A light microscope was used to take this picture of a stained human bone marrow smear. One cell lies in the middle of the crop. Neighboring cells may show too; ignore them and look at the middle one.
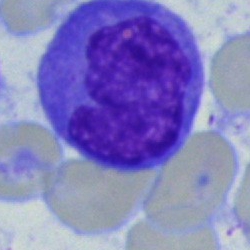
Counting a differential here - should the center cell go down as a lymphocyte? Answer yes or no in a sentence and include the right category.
No, that would be a monocyte, not a lymphocyte, for the cell at the centre.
